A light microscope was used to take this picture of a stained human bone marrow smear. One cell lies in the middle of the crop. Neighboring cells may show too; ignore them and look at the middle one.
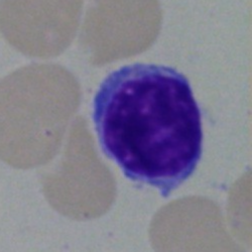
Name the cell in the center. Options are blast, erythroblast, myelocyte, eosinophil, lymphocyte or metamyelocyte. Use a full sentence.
This crop has a lymphocyte at its centre.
